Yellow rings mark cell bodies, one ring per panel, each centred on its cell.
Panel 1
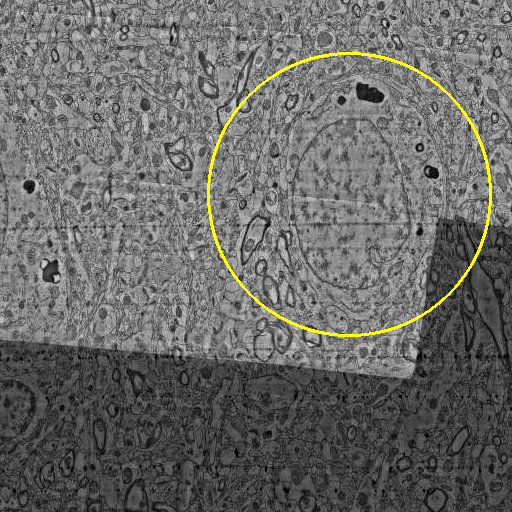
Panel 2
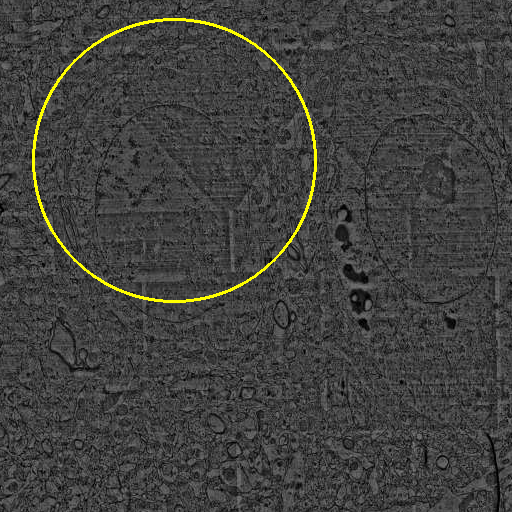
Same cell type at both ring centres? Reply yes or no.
yes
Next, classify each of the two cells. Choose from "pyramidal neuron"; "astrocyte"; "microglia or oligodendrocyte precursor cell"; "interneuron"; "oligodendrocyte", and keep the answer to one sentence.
Each of the two rings is centred on a pyramidal neuron.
